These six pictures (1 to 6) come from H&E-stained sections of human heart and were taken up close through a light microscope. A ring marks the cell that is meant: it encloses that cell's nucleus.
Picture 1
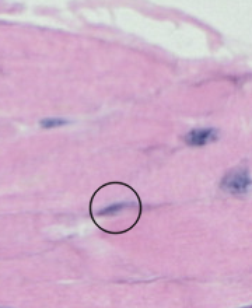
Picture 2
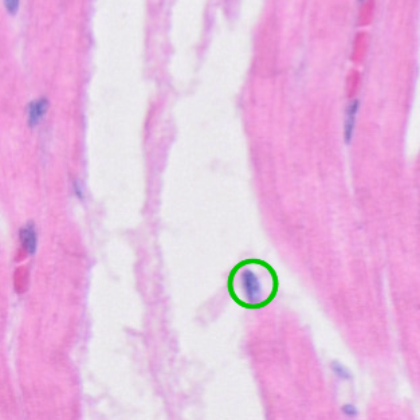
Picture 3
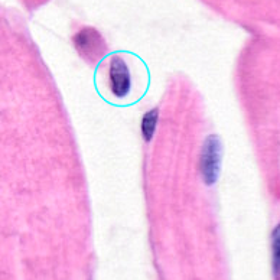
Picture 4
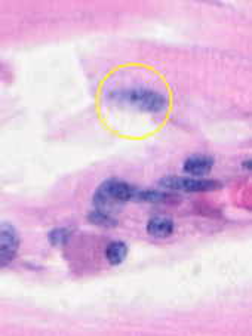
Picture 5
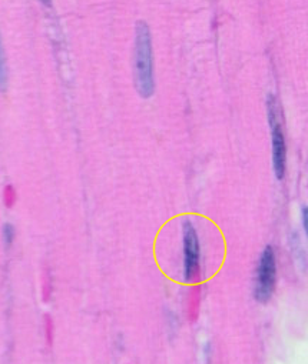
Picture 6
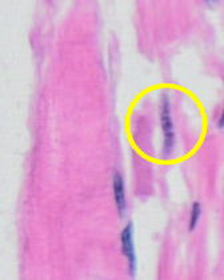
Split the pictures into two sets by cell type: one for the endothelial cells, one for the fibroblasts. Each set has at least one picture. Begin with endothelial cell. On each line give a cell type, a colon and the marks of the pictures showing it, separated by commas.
endothelial cell: 1, 5
fibroblast: 2, 3, 4, 6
